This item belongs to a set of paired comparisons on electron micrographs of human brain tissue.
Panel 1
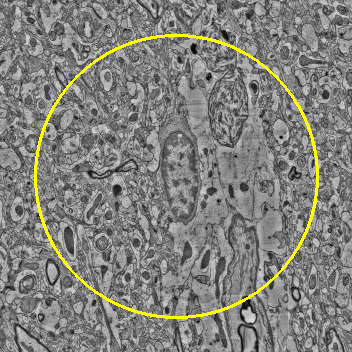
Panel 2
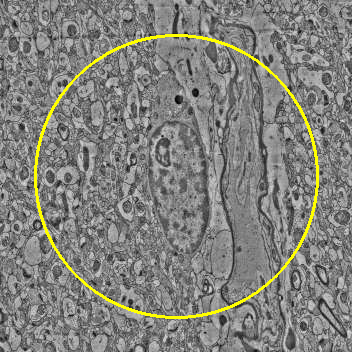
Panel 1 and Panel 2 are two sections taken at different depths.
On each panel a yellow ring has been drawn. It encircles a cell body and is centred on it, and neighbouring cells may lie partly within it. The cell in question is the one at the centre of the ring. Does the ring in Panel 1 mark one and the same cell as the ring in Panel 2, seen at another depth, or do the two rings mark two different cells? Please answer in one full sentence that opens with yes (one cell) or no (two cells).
Yes, only one cell is involved, and both rings mark it.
